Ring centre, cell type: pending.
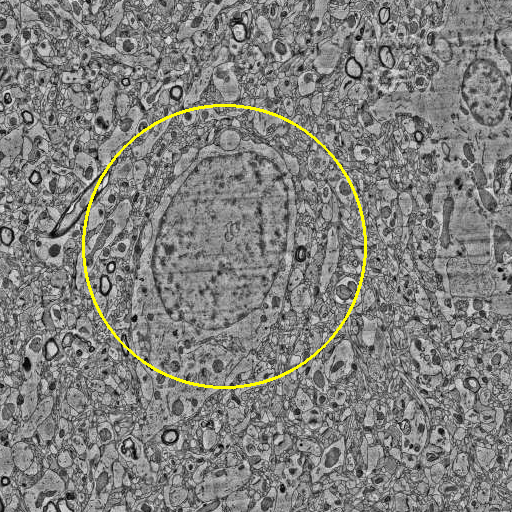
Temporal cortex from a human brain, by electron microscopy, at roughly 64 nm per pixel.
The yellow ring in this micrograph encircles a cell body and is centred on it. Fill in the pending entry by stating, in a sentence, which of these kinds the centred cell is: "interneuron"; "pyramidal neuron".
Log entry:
The centred cell is recorded as an interneuron.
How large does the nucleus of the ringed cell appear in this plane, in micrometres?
In this plane the nucleus is about 12 micrometres by 9.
